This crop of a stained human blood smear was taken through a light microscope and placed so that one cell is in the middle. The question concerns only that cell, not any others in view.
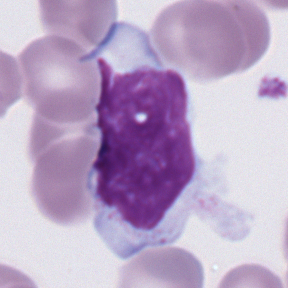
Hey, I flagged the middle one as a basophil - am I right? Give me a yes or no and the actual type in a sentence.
No, the cell in the middle is a lymphocyte; it is not a basophil.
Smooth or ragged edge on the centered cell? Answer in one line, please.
The boundary of the cell runs irregularly, ragged in parts or drawn into projections.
